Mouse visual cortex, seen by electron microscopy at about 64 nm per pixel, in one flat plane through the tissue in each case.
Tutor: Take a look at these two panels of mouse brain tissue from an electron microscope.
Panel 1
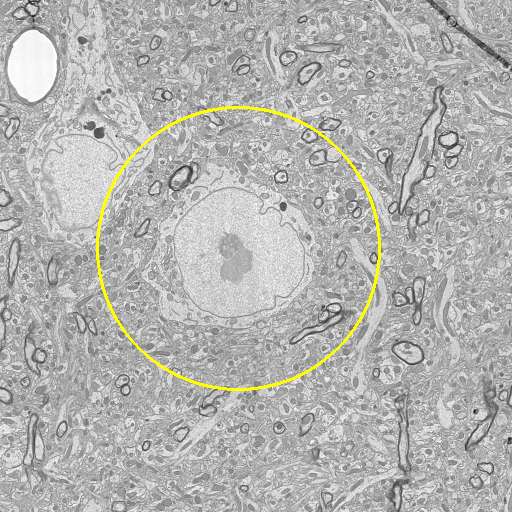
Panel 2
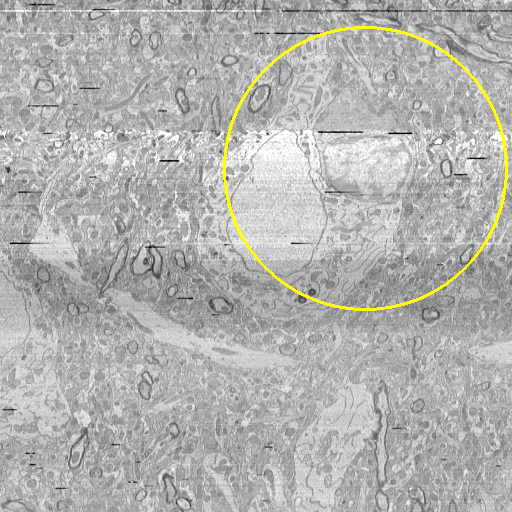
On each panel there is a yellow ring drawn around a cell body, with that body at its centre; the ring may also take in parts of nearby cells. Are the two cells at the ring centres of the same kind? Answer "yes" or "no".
no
